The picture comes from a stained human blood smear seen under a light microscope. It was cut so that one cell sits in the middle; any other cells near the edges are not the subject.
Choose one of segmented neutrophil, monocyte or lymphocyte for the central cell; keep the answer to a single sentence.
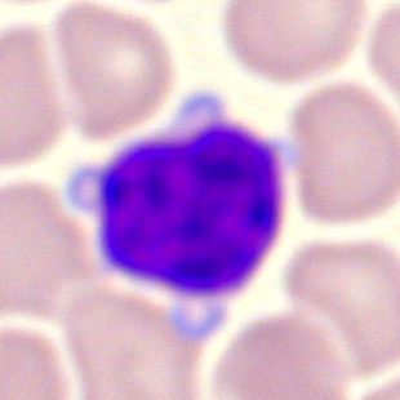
The cell at the middle of the crop is recognized as a lymphocyte.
